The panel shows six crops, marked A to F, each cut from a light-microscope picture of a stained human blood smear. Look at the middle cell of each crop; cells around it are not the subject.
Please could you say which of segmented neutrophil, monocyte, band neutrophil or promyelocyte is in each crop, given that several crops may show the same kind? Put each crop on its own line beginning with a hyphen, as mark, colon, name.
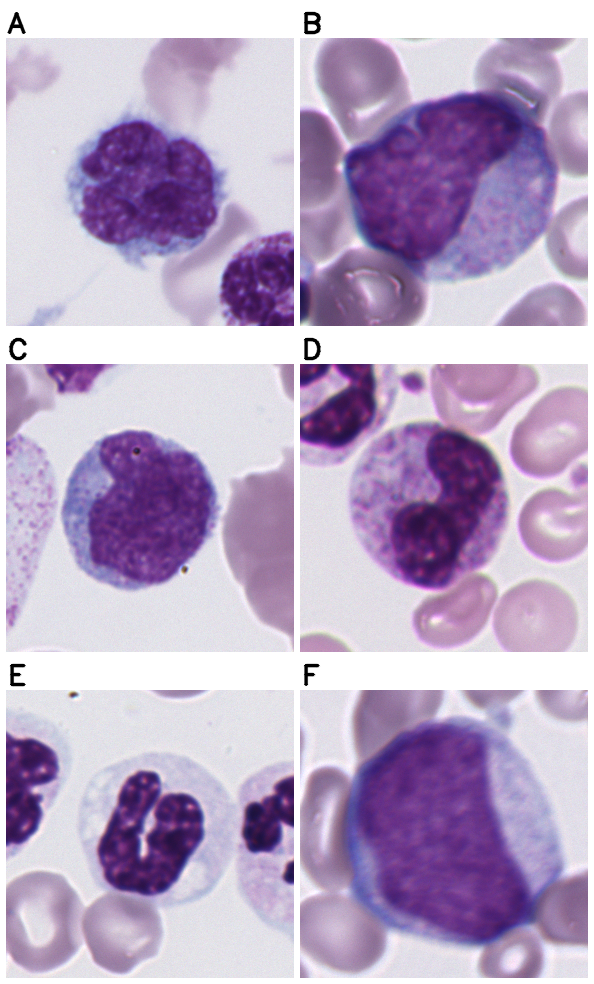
- A: monocyte
- B: promyelocyte
- C: monocyte
- D: band neutrophil
- E: band neutrophil
- F: promyelocyte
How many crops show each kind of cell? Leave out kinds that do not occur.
monocyte: 2
promyelocyte: 2
band neutrophil: 2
